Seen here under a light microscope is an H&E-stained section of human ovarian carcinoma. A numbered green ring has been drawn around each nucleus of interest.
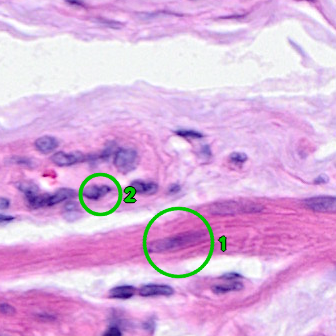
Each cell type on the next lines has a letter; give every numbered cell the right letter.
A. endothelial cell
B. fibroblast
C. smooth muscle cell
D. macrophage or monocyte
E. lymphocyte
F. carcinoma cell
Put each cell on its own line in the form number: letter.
1: C
2: A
